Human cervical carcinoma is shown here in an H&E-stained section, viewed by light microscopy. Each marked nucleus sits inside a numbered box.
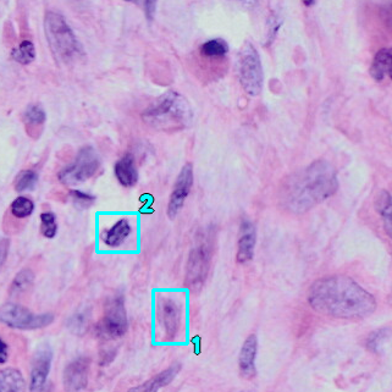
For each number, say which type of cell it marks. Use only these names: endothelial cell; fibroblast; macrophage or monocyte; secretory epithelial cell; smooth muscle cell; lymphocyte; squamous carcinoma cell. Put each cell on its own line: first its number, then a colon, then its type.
1: fibroblast
2: lymphocyte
